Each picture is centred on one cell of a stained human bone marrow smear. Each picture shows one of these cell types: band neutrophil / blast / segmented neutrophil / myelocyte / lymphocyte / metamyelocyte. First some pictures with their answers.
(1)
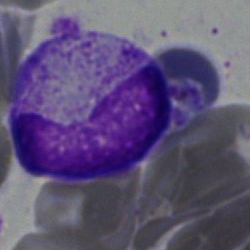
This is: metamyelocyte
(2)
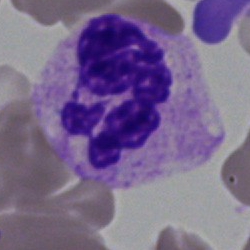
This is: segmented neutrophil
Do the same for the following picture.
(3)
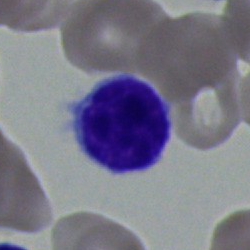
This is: lymphocyte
